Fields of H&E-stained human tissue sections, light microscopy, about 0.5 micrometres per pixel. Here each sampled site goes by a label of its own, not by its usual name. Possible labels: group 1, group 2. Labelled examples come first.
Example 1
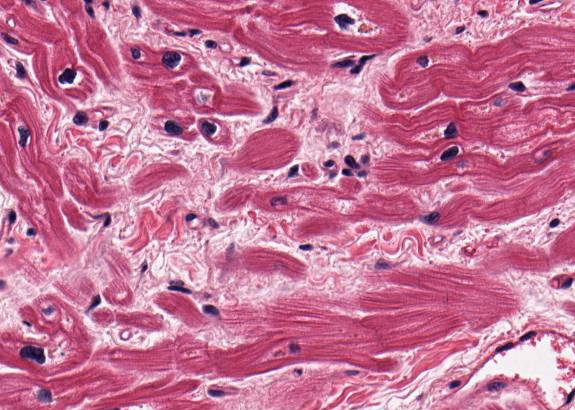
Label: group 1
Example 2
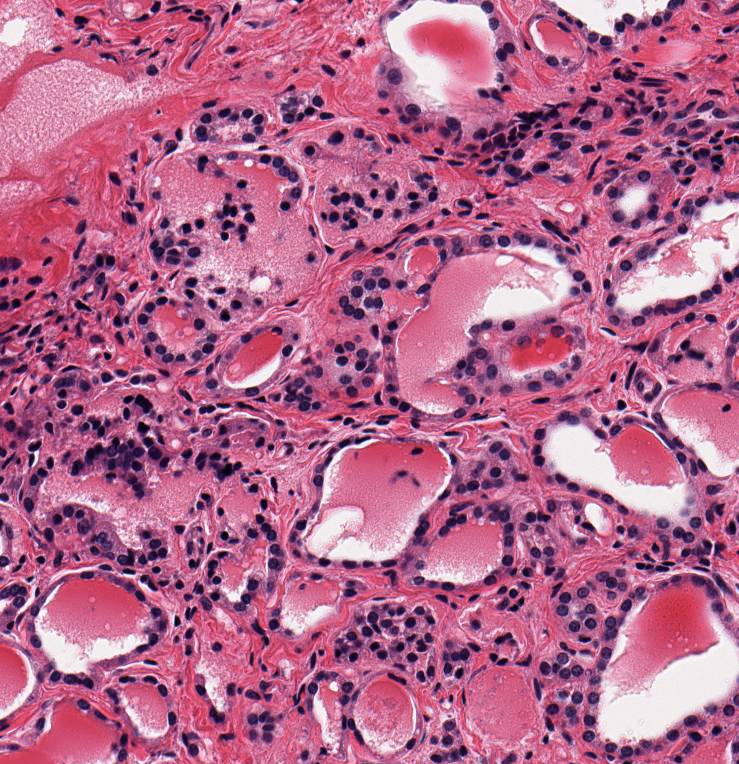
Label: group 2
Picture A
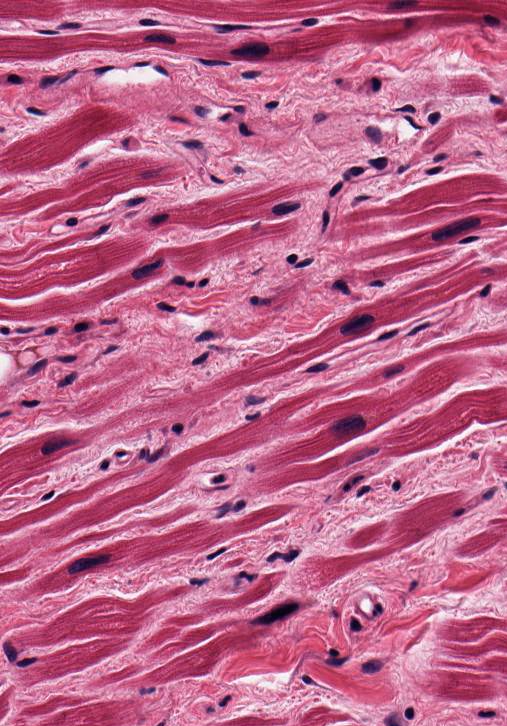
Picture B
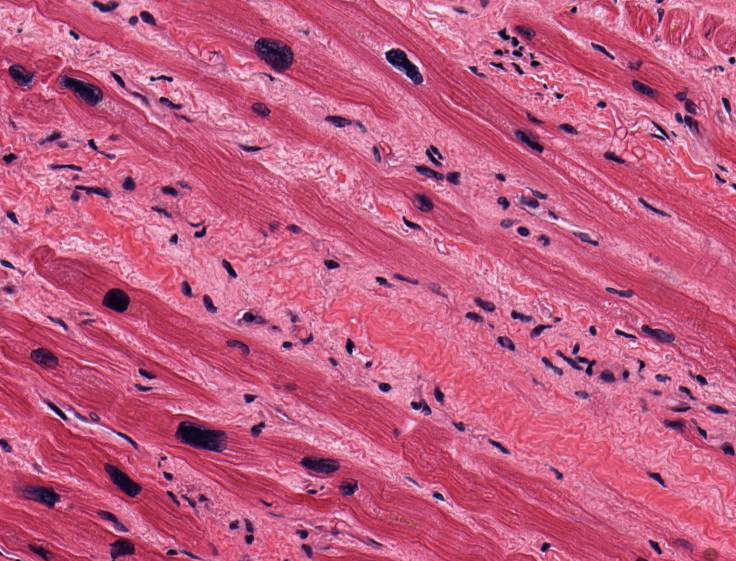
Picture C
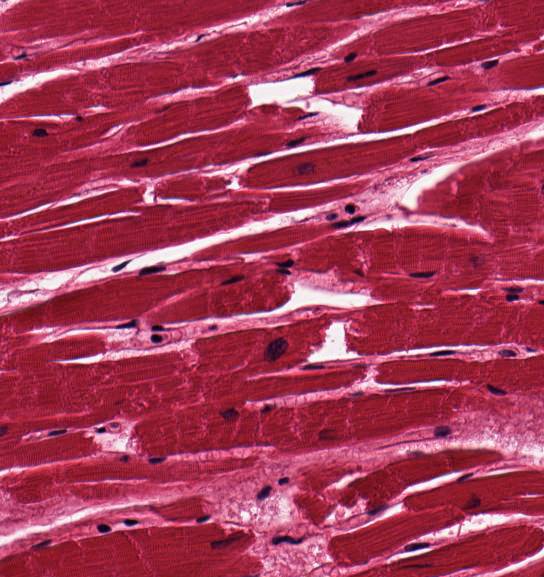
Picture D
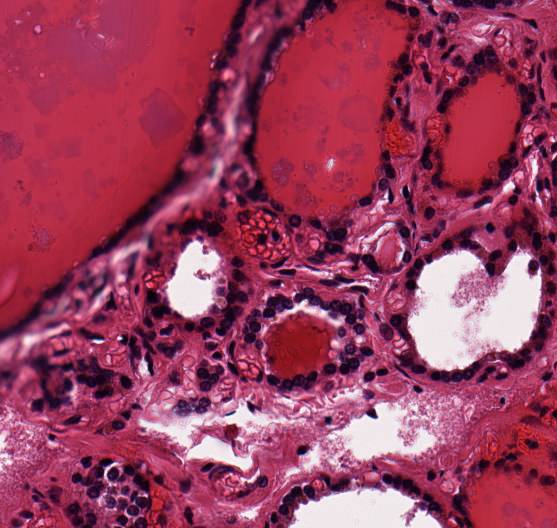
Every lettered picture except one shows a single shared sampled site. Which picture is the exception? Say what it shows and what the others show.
Picture D: group 2. All others: group 1.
